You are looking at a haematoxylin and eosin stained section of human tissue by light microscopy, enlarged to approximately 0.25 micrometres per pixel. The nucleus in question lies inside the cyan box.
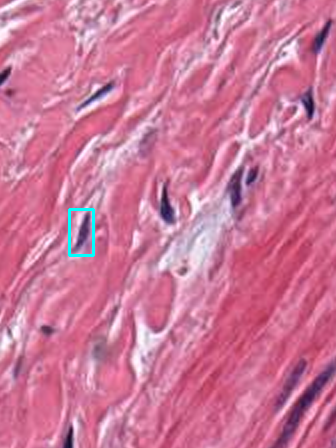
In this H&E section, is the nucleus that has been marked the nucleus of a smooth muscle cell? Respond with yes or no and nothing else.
no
